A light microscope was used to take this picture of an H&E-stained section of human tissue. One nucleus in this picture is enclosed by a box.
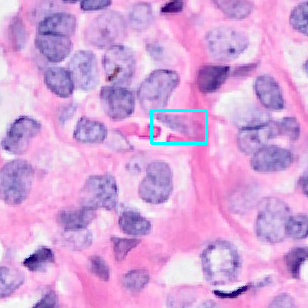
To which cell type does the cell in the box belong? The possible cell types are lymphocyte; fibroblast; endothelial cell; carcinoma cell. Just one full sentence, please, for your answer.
Labelled by cell type, the cell in the box is an endothelial cell.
